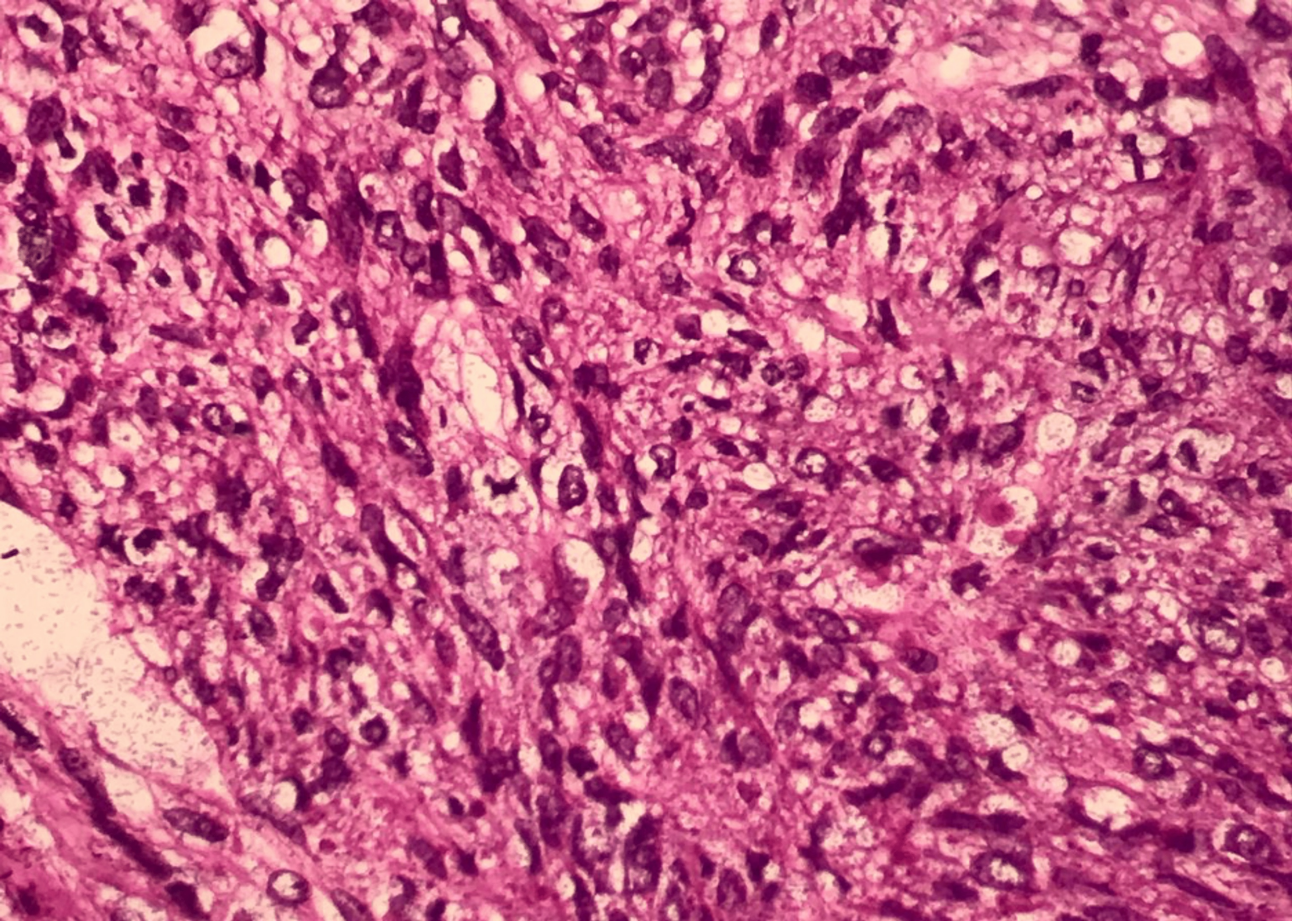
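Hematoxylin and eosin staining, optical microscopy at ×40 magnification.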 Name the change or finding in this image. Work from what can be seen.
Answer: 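Many nuclei stain a very dark purple. The nuclei are crowded and stand out sharply against the pink background.
Answer: hyperchromatic nuclei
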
